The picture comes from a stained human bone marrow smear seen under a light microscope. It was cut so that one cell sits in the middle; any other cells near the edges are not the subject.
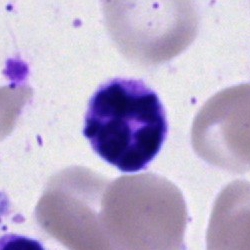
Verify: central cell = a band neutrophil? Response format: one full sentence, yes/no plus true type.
No, the middle of the crop holds a segmented neutrophil, not a band neutrophil.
